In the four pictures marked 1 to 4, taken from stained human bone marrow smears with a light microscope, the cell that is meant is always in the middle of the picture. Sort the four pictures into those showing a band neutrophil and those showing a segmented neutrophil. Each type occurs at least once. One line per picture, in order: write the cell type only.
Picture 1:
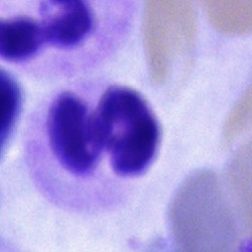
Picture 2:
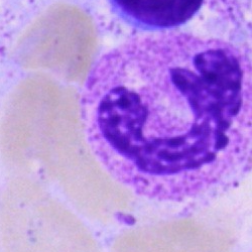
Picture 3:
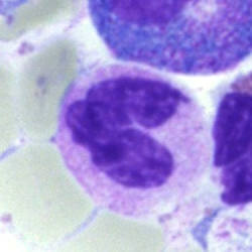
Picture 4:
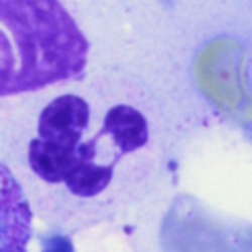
segmented neutrophil
segmented neutrophil
band neutrophil
segmented neutrophil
